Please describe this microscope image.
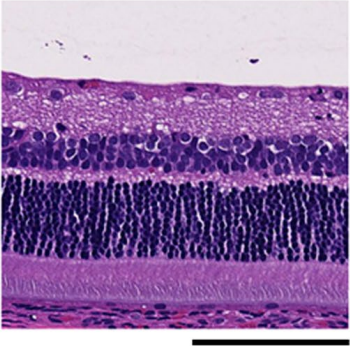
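This is a cross-section of a degenerating retina in which the outer layers remain well ordered. The ganglion cell layer at the inner surface is sparse, with only scattered nuclei. The inner plexiform layer beneath it is a narrow pale pink band. The inner nuclear layer shows several rows of dark purple rounded nuclei. The outer nuclear layer is thick and composed of densely packed small dark nuclei, followed by the pink photoreceptor segments and the pigment epithelium at the bottom.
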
